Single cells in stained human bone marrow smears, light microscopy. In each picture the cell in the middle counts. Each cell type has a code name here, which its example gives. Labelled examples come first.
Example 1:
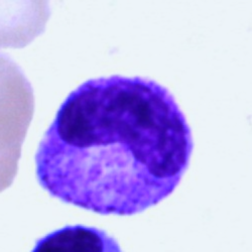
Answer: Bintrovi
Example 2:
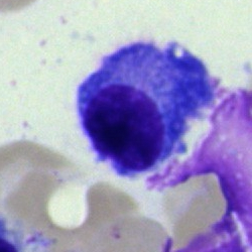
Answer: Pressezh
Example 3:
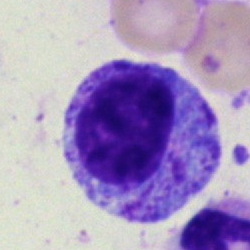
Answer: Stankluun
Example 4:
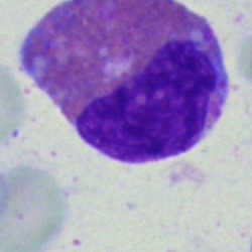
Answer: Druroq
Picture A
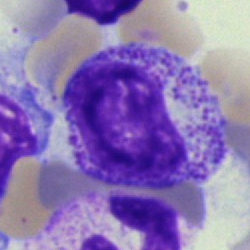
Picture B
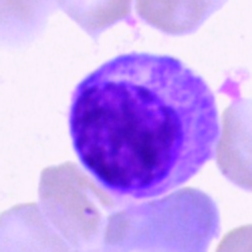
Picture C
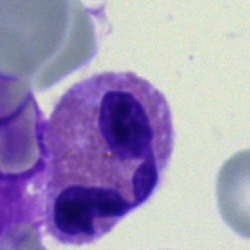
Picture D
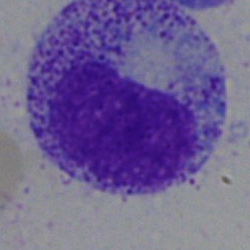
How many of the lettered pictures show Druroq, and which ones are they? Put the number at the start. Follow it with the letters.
Count: 1 (C)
